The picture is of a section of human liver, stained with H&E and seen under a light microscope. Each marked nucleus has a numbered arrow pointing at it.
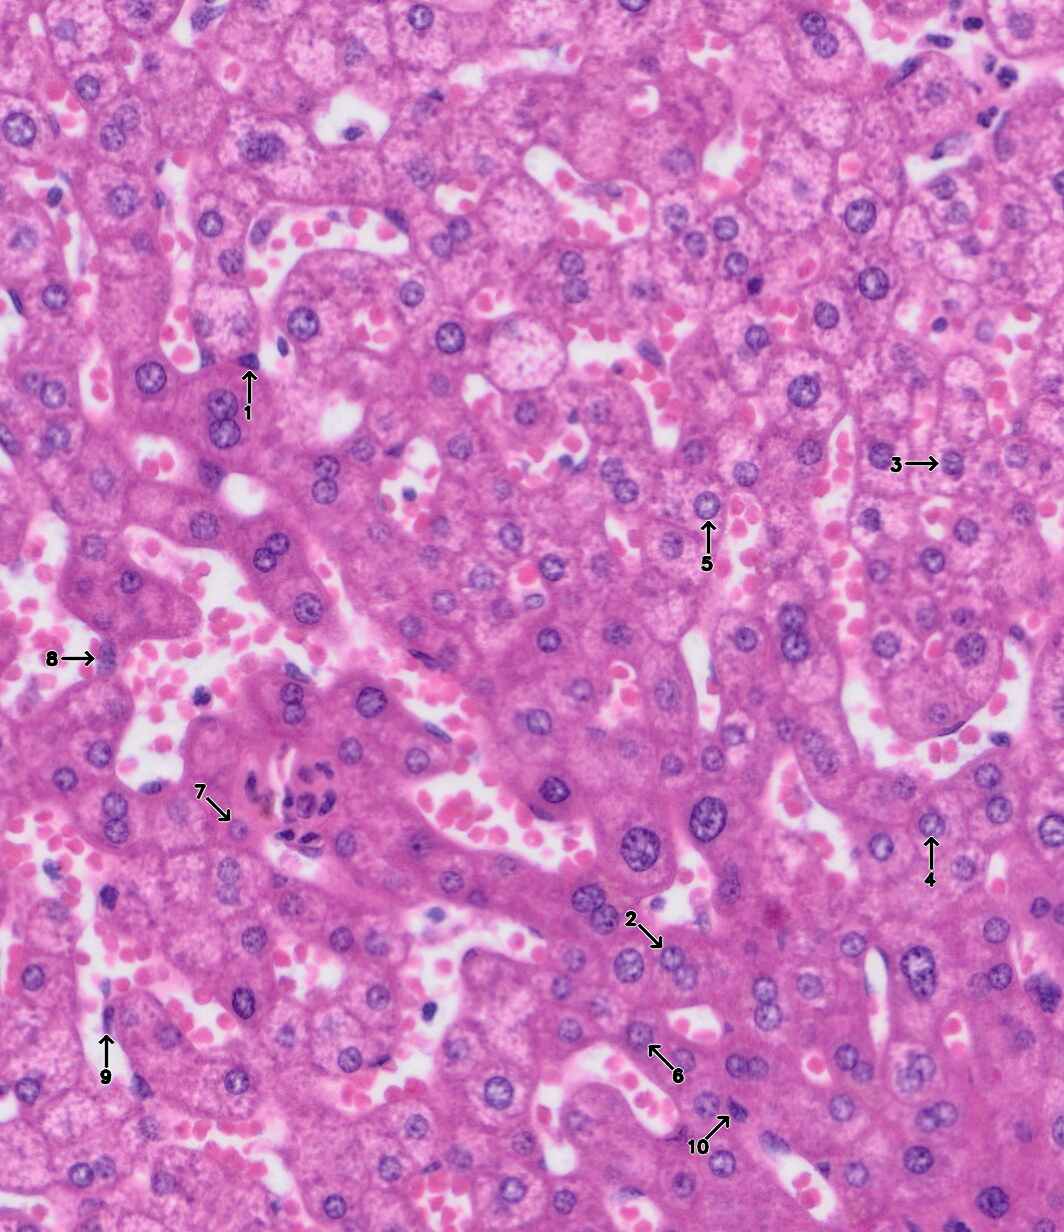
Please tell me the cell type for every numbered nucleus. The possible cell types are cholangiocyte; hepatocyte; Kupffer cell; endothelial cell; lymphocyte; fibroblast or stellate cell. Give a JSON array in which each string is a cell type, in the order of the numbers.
["fibroblast or stellate cell", "hepatocyte", "hepatocyte", "hepatocyte", "hepatocyte", "hepatocyte", "hepatocyte", "endothelial cell", "Kupffer cell", "fibroblast or stellate cell"]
